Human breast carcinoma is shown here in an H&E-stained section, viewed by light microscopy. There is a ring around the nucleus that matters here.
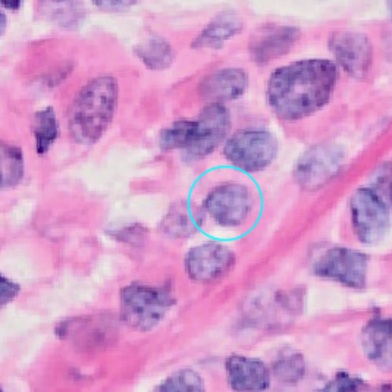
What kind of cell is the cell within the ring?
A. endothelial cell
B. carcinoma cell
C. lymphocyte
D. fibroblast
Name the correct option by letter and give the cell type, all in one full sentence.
The proper choice here is B: the cell within the ring is a carcinoma cell.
